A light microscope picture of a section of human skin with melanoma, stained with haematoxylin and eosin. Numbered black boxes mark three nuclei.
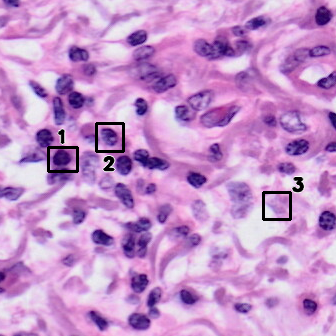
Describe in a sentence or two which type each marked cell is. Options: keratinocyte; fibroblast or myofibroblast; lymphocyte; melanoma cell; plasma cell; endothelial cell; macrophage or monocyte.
Cells 1 and 2 are plasma cells. Cell 3 is a fibroblast or myofibroblast.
